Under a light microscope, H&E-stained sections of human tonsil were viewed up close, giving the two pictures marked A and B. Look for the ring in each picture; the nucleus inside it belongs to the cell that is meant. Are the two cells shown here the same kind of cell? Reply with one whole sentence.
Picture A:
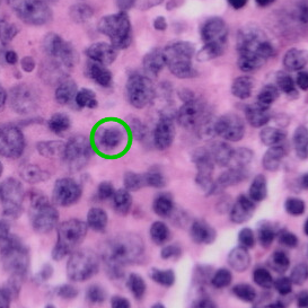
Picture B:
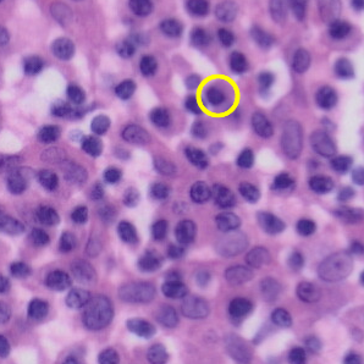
No. Picture A shows a proliferating B cell, but picture B shows a plasma cell.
